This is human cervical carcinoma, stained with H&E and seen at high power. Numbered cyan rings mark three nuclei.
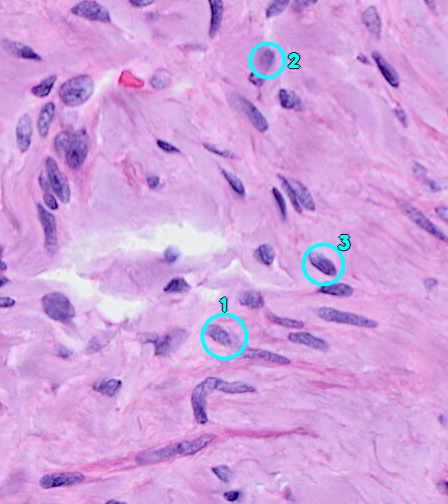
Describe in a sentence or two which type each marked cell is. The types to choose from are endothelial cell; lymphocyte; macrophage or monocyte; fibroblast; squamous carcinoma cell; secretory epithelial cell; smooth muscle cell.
Cell 1 is a smooth muscle cell, cell 2 is a fibroblast and cell 3 is a fibroblast.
